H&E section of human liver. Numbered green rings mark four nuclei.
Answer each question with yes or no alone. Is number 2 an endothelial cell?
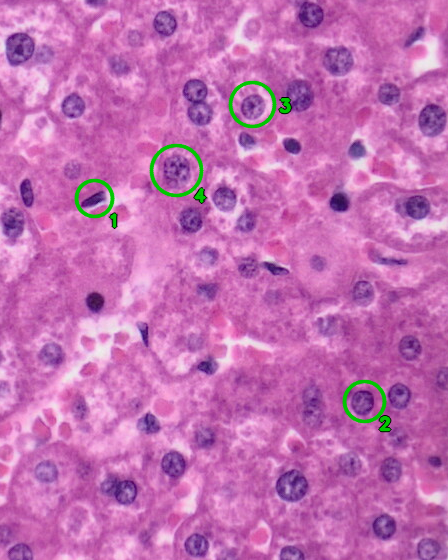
no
